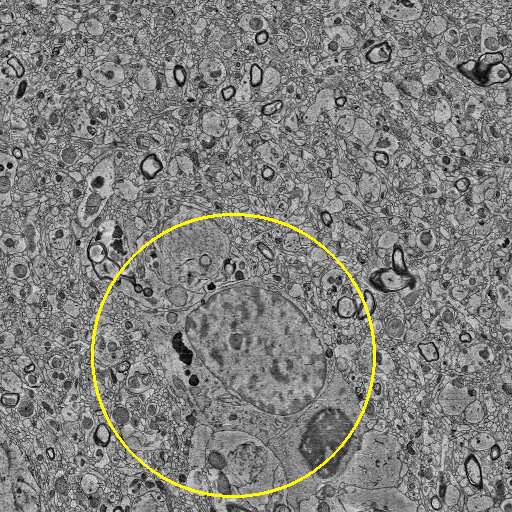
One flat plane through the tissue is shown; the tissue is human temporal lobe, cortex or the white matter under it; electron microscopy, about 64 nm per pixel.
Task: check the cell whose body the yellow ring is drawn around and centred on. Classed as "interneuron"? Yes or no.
No, it belongs to another class.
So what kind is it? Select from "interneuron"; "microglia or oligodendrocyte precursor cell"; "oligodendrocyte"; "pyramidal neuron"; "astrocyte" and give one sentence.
What the ring is centred on is an oligodendrocyte.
